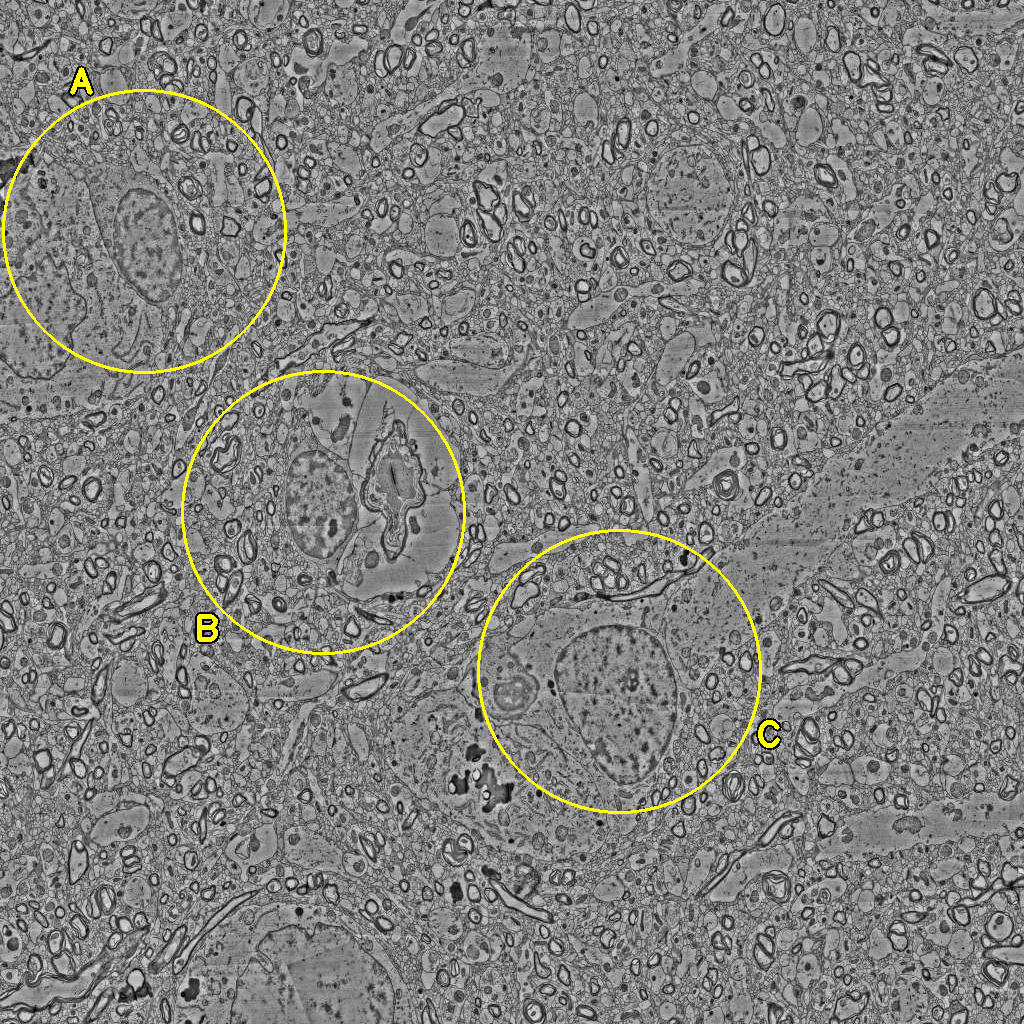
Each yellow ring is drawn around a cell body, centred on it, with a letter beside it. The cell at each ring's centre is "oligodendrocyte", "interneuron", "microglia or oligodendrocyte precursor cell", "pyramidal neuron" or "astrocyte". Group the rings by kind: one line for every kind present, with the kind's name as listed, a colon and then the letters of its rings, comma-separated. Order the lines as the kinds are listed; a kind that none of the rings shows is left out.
oligodendrocyte: A, B
microglia or oligodendrocyte precursor cell: C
